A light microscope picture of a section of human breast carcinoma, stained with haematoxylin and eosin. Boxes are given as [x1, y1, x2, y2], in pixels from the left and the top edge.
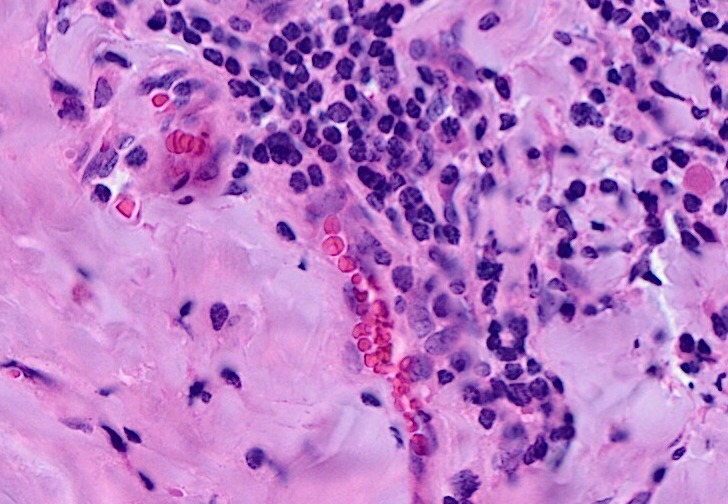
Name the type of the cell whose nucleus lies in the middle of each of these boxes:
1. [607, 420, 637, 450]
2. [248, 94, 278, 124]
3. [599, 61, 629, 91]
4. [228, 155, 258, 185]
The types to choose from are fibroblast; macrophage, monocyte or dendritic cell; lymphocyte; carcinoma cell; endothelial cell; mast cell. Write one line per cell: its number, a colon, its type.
1: mast cell
2: lymphocyte
3: lymphocyte
4: lymphocyte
